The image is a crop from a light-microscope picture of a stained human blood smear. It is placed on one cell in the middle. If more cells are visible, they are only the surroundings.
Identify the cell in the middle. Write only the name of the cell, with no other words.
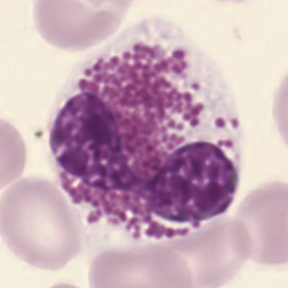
eosinophil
